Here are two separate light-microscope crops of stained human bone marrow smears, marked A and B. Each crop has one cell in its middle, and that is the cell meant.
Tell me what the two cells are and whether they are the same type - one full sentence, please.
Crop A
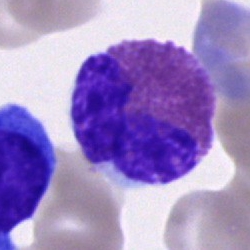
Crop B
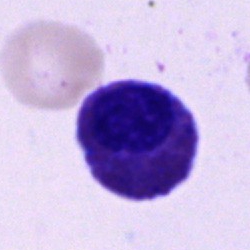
Yes, the cells centred in the two crops are both eosinophils.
